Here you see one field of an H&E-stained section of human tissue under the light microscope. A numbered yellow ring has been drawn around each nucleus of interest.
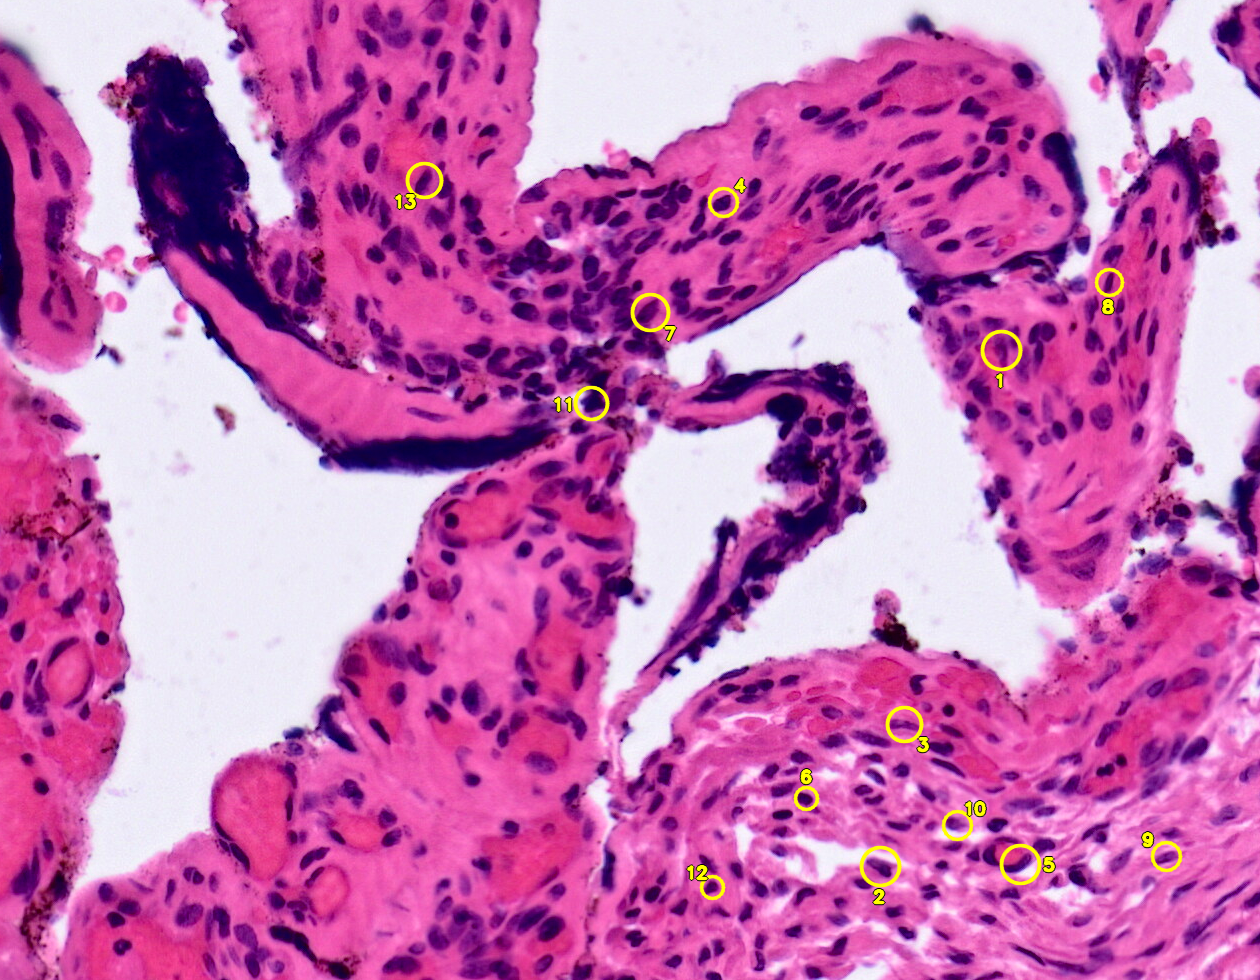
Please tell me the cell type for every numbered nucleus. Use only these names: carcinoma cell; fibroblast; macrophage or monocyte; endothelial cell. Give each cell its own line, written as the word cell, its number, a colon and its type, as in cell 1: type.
cell 1: endothelial cell
cell 2: fibroblast
cell 3: fibroblast
cell 4: macrophage or monocyte
cell 5: endothelial cell
cell 6: fibroblast
cell 7: carcinoma cell
cell 8: endothelial cell
cell 9: fibroblast
cell 10: fibroblast
cell 11: carcinoma cell
cell 12: fibroblast
cell 13: endothelial cell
